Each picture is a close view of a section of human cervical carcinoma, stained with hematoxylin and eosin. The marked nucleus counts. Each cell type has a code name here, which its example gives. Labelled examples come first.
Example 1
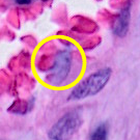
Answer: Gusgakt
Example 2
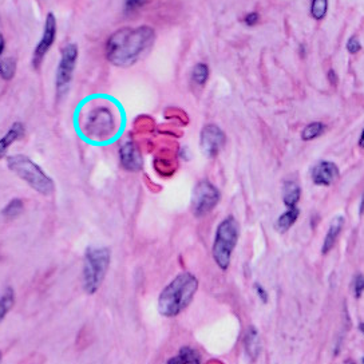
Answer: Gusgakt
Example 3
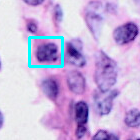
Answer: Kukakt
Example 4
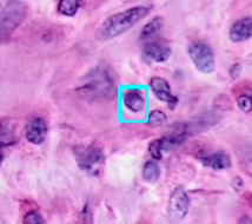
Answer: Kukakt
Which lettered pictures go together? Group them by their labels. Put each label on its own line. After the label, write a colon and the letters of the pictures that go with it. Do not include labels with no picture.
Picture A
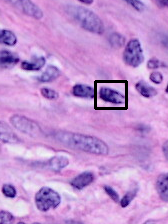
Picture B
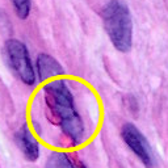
Gusgakt: B
Kukakt: A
